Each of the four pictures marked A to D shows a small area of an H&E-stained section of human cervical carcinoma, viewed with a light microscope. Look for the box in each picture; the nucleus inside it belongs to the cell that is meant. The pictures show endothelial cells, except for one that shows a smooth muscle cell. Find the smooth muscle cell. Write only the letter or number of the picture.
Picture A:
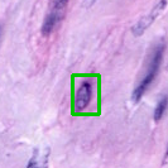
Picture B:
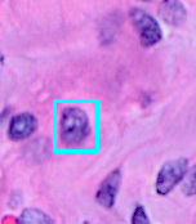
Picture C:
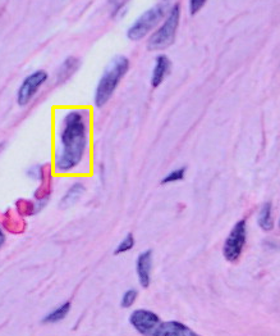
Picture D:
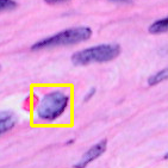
A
